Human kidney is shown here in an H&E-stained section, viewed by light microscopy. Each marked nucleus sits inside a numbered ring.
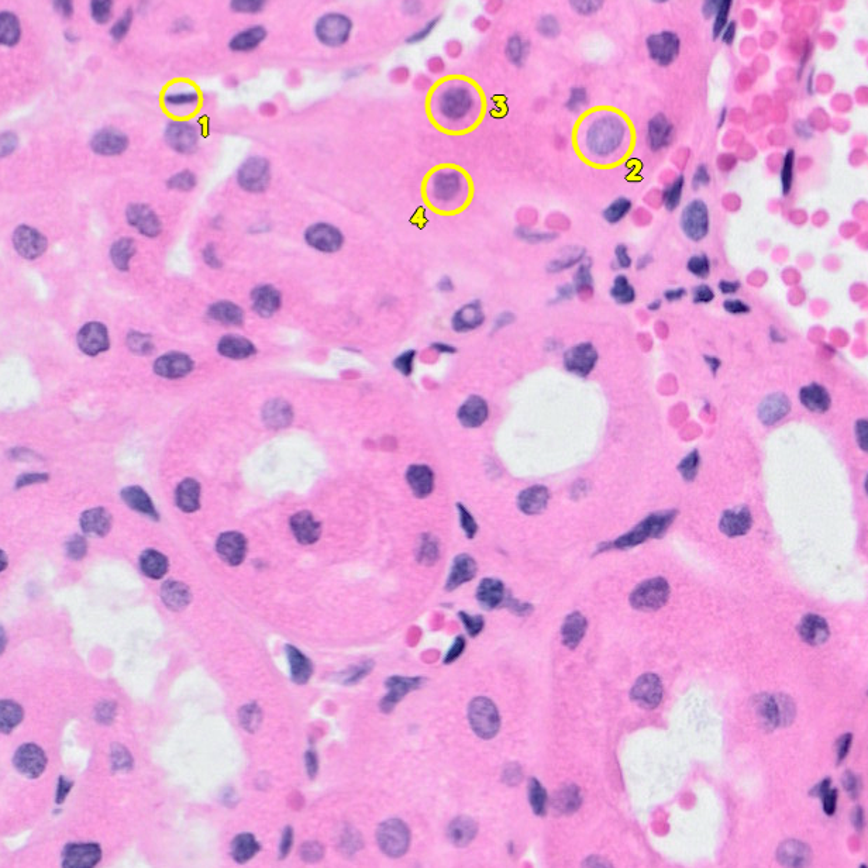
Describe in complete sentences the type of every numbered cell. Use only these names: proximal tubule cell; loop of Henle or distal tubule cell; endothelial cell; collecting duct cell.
Cell 1 is an endothelial cell. Cells 2, 3 and 4 are proximal tubule cells.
